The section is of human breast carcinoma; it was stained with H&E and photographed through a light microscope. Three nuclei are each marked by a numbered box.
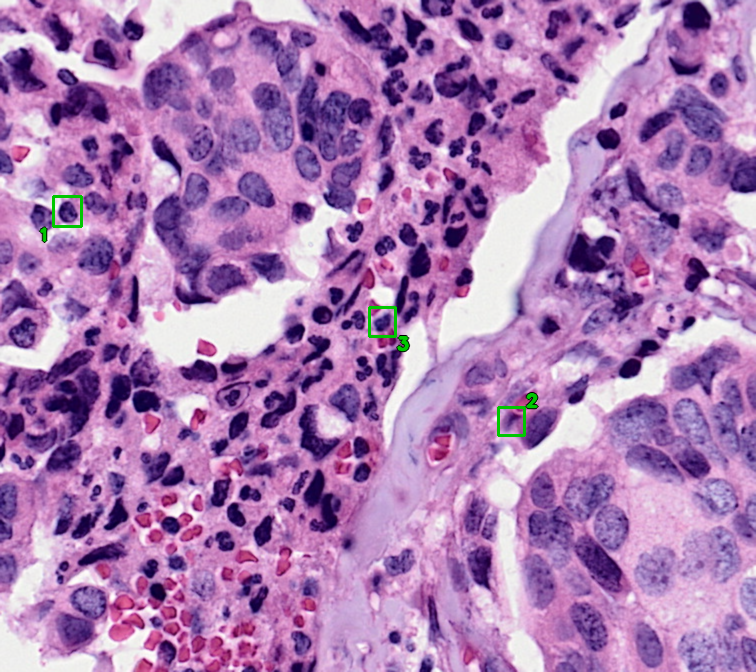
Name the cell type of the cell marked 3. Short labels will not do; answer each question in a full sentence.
The cell identified by the number 3 is a lymphocyte.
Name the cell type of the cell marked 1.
Marked with the number 1, this cell is a lymphocyte.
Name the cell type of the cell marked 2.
The cell indicated with the number 2 is classed as an endothelial cell.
